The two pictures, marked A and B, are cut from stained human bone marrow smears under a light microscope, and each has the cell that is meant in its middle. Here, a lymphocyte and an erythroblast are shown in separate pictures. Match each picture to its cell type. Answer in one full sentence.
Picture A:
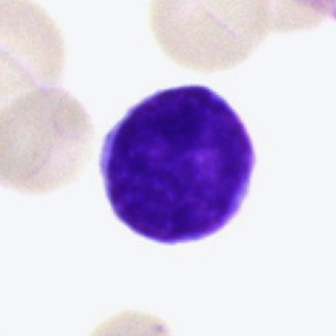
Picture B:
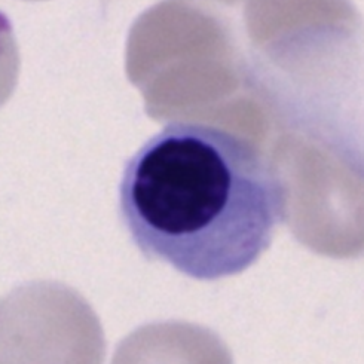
In picture A the cell is a lymphocyte; in picture B, an erythroblast.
